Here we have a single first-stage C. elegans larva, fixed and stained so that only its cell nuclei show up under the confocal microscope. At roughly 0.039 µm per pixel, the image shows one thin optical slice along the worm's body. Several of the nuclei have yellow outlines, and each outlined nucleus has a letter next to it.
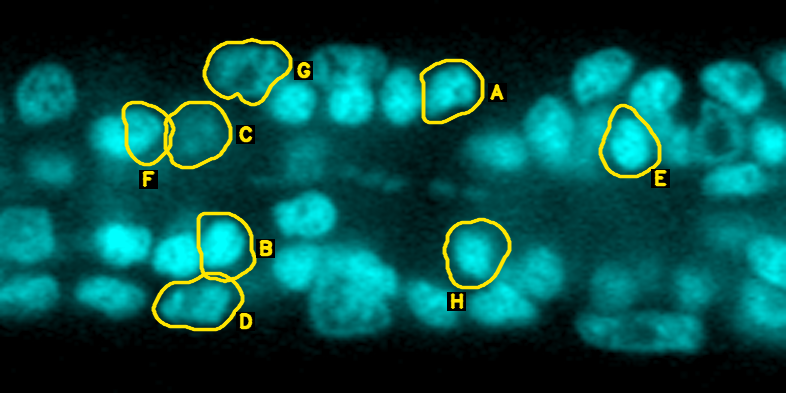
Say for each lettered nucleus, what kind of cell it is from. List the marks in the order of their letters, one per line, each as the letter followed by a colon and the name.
A: neuron
B: neuron
C: pharyngeal muscle cell
D: hypodermal cell (hyp)
E: neuron
F: pharyngeal marginal cell
G: hypodermal cell (hyp)
H: GLR cell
